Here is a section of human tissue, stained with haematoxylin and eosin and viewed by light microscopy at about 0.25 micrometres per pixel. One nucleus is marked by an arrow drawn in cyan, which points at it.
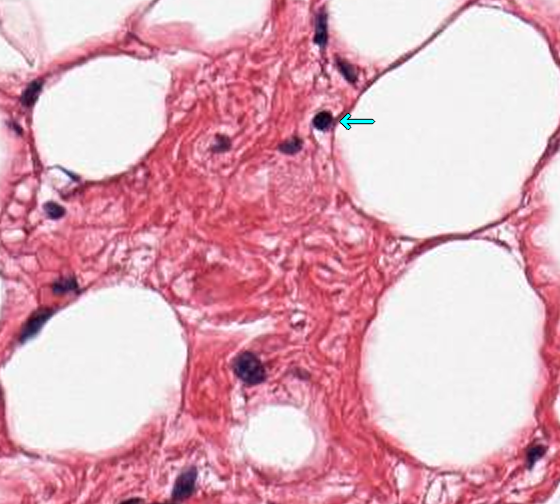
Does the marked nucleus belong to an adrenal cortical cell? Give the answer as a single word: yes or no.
no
